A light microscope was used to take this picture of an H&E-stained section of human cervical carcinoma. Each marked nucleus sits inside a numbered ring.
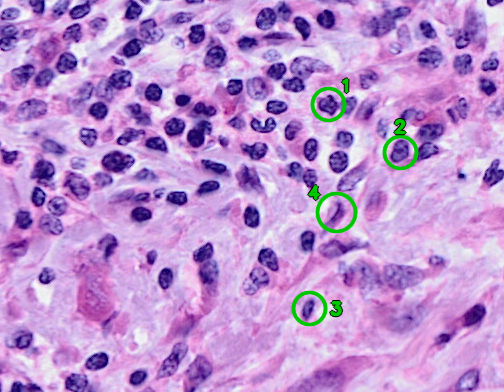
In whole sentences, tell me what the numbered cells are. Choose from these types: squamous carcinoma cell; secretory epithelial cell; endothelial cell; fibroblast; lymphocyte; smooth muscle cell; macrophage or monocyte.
Cells 1, 2 and 3 are lymphocytes. Cell 4 is a macrophage or monocyte.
